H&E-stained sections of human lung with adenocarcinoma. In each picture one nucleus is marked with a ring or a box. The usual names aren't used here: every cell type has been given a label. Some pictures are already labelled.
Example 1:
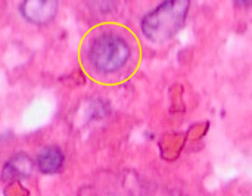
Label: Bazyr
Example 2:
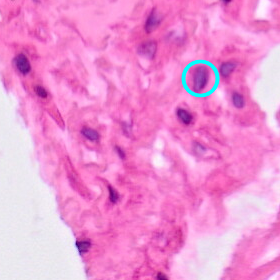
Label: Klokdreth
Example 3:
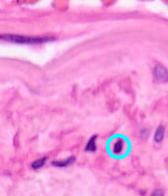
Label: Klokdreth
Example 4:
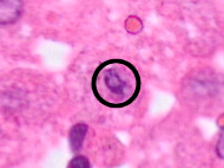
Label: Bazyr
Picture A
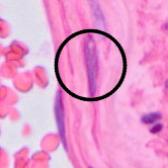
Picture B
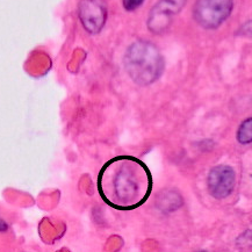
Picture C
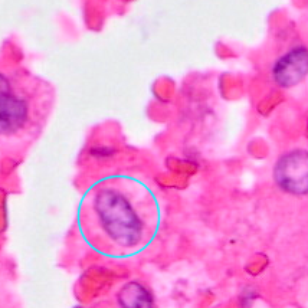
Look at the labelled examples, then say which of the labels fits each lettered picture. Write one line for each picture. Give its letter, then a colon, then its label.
A: Klokdreth
B: Bazyr
C: Bazyr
